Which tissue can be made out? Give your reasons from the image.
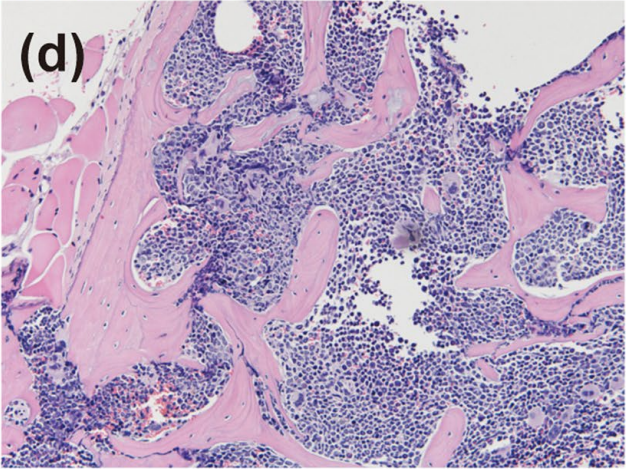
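Bone marrow. Pink bony trabeculae run through the field. Spaces between the trabeculae are packed with small, dark, round-nucleated cells.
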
